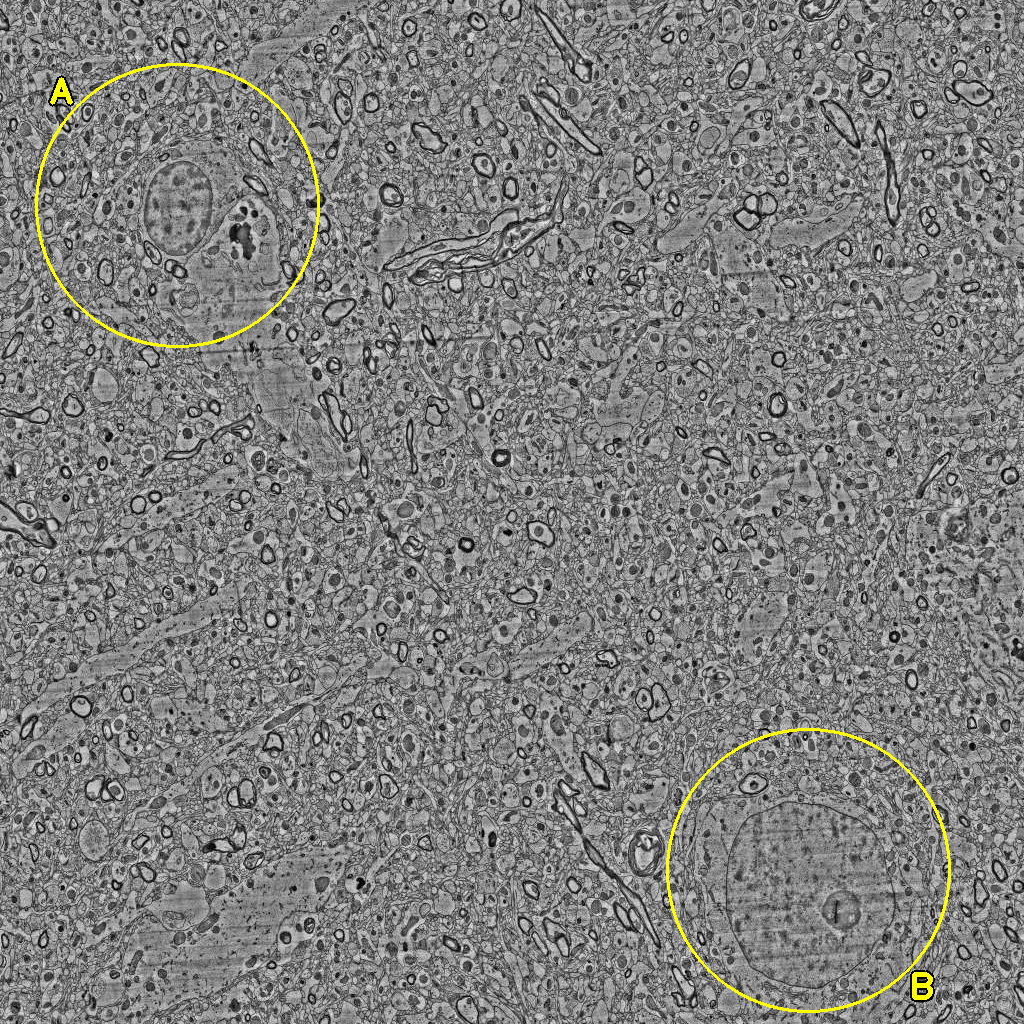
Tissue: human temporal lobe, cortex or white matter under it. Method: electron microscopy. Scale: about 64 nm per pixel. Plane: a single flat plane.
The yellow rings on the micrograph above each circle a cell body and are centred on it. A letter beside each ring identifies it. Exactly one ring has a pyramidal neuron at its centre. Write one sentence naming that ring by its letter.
Ring B is the one.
